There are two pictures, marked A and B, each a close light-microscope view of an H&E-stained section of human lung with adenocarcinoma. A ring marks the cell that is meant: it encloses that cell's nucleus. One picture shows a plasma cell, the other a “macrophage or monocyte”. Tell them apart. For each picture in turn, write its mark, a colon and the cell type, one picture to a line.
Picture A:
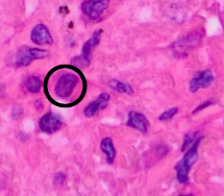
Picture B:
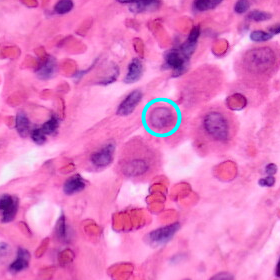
A: plasma cell
B: macrophage or monocyte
